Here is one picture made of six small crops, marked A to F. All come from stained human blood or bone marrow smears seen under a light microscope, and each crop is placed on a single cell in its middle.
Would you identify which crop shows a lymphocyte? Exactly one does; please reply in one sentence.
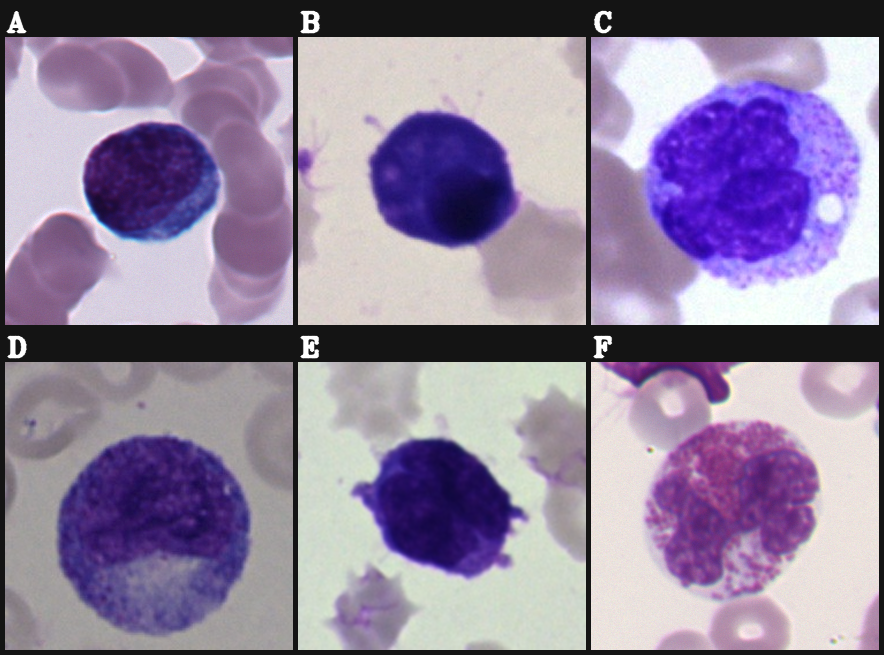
Identified crop: A, the one that shows a lymphocyte.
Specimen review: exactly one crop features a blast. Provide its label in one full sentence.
It is in crop E that a blast is shown.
